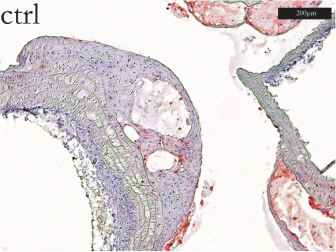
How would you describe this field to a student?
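Arterial wall with a large plaque raised over the media. The plaque above it is thick and layered, with scattered nuclei and several pale, empty cleft-like and rounded spaces in its depth. Red staining is patchy, seen in parts of the lesion and in the tissue around the vessel. A thinner neighbouring vessel wall runs up at the right edge.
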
